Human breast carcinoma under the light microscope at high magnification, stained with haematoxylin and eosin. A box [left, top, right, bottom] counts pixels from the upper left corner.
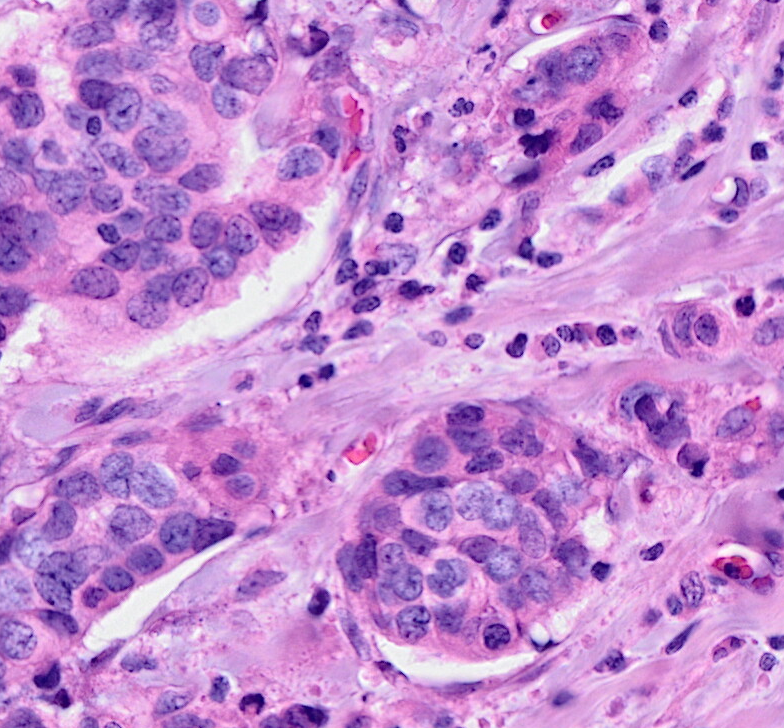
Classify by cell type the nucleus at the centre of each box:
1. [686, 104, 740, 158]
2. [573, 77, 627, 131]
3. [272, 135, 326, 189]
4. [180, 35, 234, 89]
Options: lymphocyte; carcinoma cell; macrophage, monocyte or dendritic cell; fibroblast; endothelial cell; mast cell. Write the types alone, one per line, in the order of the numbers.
lymphocyte
carcinoma cell
carcinoma cell
carcinoma cell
